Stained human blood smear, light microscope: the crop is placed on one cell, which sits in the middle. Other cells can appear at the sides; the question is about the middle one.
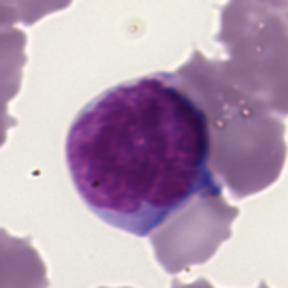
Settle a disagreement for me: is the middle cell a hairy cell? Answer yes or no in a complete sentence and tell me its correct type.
No, instead of a hairy cell, the centred cell represents a myeloblast.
